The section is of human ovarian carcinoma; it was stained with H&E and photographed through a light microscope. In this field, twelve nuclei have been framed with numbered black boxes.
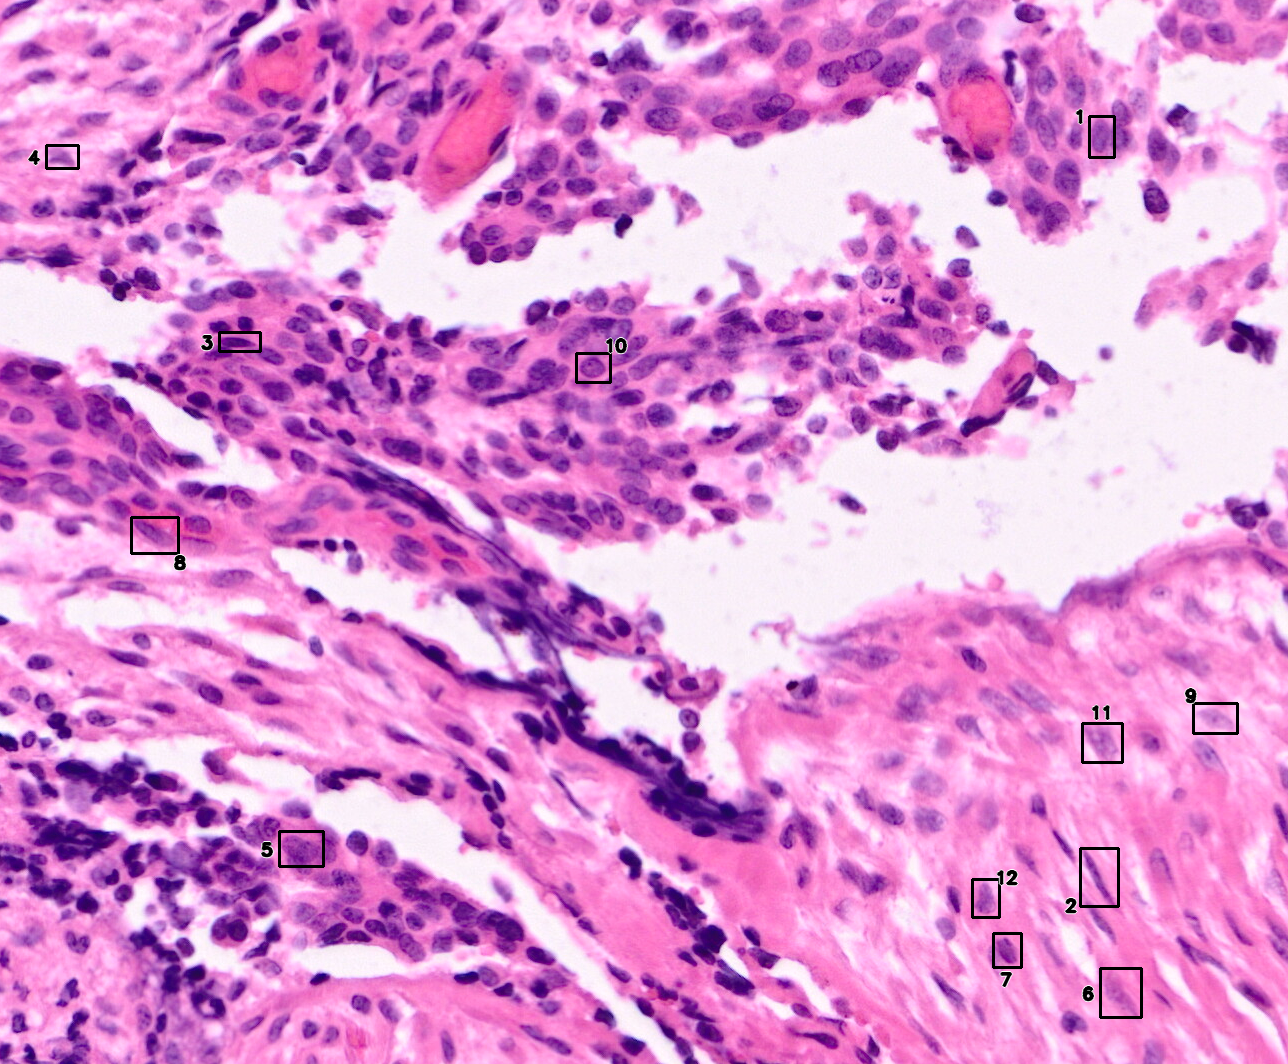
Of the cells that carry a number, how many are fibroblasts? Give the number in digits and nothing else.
7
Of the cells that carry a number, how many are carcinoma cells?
4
